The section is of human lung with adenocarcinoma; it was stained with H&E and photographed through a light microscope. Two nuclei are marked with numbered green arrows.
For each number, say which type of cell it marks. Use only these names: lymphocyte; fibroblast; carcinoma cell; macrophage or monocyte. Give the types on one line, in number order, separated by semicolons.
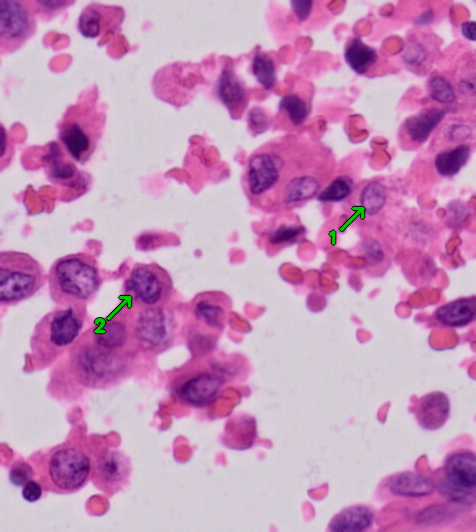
macrophage or monocyte; carcinoma cell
